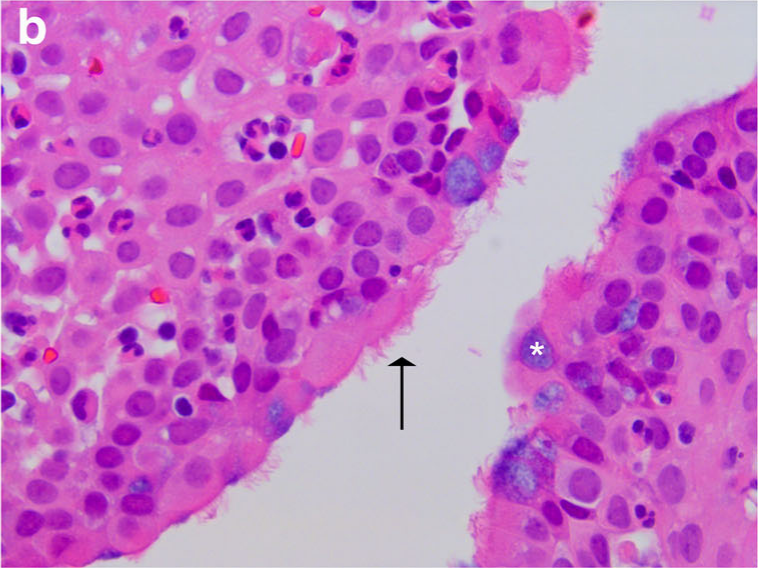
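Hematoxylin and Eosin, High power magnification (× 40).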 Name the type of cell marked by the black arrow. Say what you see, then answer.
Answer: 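Ciliated cells. The surface cells at the arrow carry a fringe of fine hair-like projections on their free border. These cells line the edge of the fragment facing the empty space.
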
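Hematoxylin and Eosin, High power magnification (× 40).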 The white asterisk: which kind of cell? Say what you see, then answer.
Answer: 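Goblet cells. The marked cell has pale bluish-grey, finely granular cytoplasm unlike the pink cytoplasm of its neighbours. It sits within the lining at the surface of the fragment.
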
